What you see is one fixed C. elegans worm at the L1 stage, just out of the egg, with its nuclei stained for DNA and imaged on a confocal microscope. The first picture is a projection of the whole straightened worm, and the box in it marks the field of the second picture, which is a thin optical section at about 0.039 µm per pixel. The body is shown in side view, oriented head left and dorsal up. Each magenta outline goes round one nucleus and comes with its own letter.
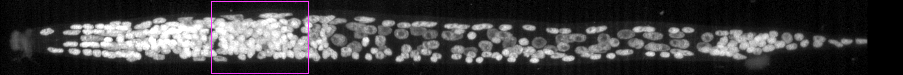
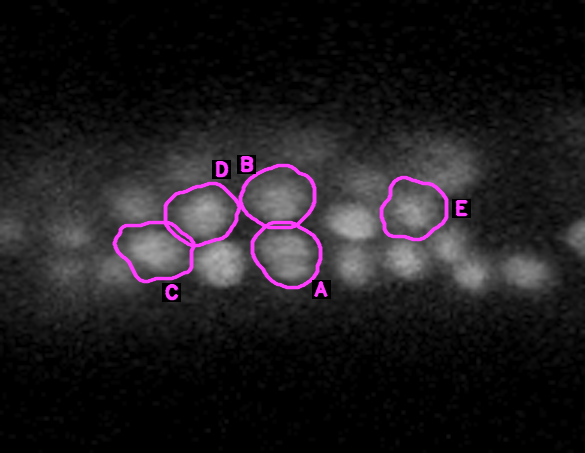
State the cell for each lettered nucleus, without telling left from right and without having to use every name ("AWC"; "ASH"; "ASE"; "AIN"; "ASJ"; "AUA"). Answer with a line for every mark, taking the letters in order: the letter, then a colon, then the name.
A: ASJ
B: ASE
C: AWC
D: ASH
E: AIN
